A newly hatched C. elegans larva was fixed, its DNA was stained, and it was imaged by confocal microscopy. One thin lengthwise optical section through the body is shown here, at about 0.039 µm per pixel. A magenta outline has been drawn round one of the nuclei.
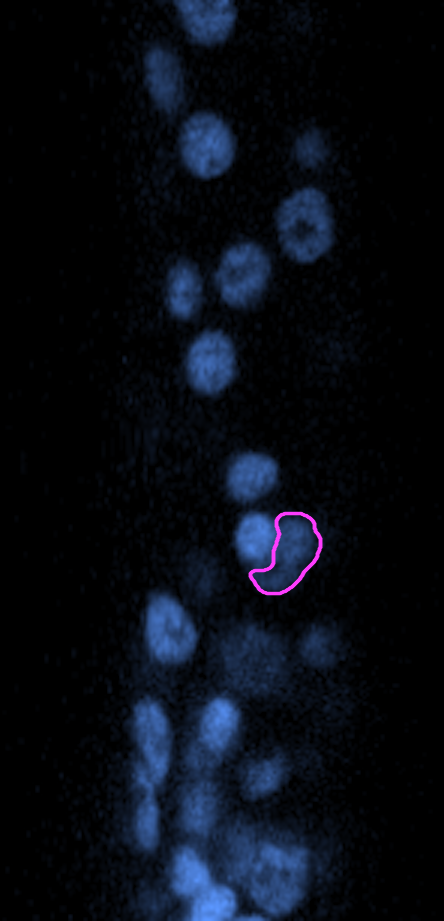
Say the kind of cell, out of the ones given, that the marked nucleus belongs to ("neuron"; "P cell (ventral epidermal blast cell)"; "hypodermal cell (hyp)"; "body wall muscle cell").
hypodermal cell (hyp)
